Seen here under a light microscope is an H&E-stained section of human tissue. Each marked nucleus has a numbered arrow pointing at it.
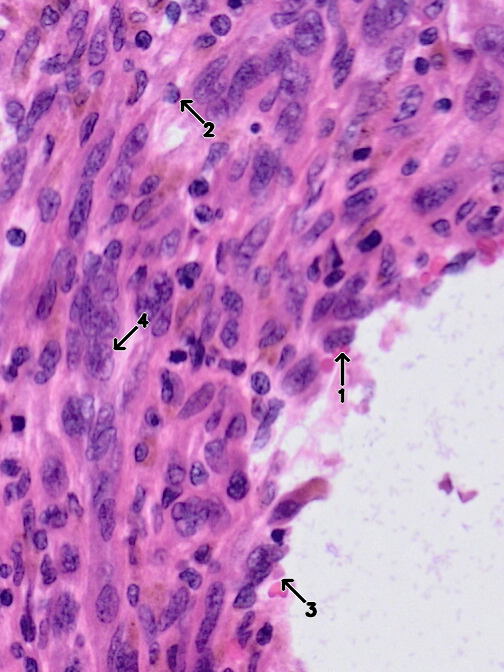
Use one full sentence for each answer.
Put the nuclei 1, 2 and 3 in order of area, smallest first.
The order from the smallest nucleus to the largest is 2, 1, 3.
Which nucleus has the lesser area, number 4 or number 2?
Nucleus 2 covers less area, with nucleus 4 about 3 times as large.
